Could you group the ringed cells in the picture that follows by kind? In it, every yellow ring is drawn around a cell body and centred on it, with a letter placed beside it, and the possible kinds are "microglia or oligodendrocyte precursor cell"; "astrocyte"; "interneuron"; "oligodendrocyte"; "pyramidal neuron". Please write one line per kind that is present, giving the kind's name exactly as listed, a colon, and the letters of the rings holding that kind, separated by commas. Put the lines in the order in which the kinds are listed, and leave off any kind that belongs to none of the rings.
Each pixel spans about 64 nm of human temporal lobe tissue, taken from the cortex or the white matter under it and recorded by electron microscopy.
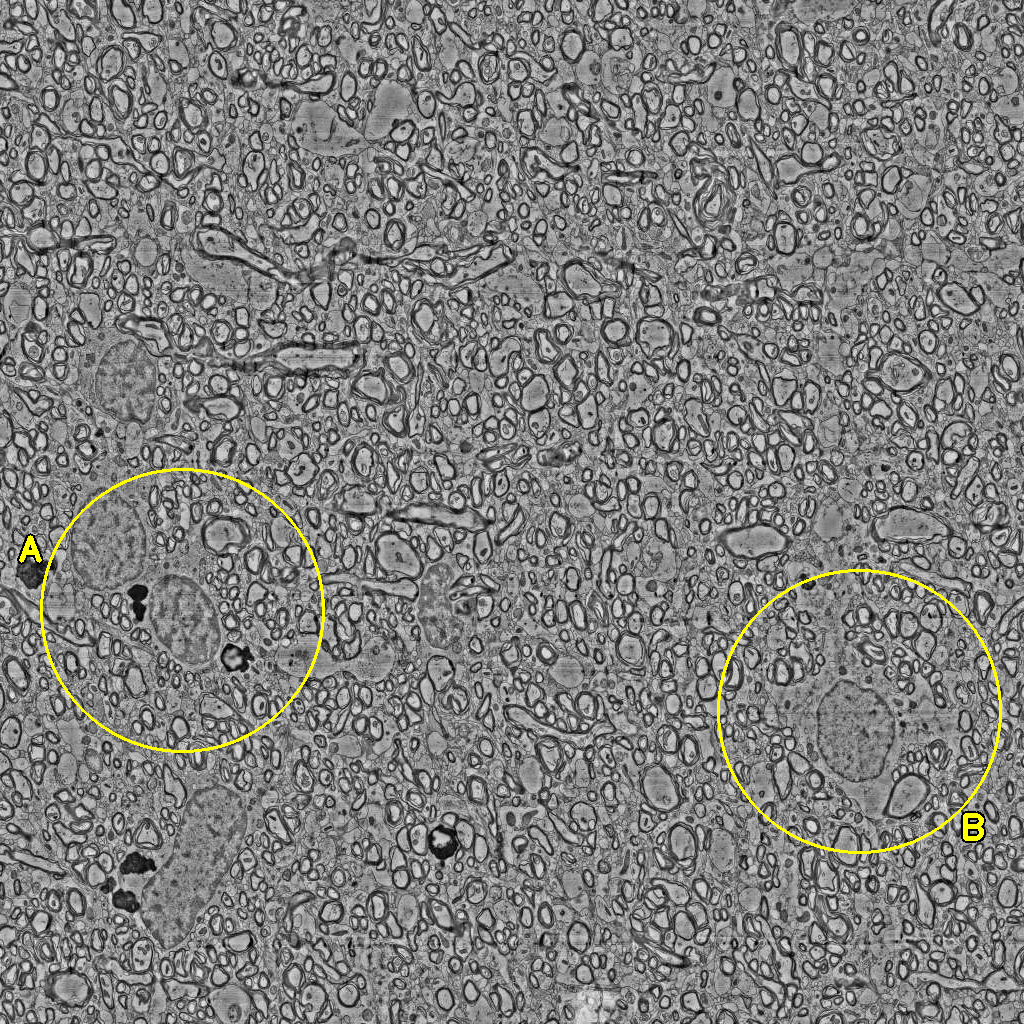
astrocyte: B
oligodendrocyte: A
